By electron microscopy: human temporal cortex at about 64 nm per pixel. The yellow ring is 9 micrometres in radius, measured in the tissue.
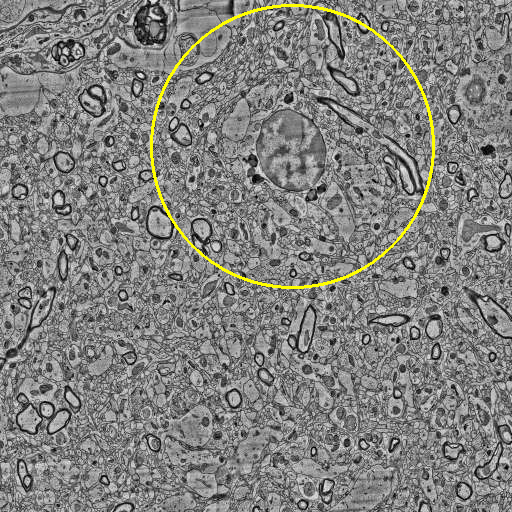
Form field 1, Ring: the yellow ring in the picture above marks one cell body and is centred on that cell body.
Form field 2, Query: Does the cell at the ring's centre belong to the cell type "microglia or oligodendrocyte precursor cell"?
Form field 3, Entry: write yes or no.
yes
